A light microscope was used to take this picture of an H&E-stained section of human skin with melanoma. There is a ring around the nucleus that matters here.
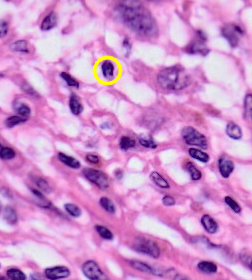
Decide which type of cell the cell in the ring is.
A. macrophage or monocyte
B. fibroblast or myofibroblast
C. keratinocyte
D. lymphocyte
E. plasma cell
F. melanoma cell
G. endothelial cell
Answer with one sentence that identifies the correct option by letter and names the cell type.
With the cell in the ring being a lymphocyte, option D is correct.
